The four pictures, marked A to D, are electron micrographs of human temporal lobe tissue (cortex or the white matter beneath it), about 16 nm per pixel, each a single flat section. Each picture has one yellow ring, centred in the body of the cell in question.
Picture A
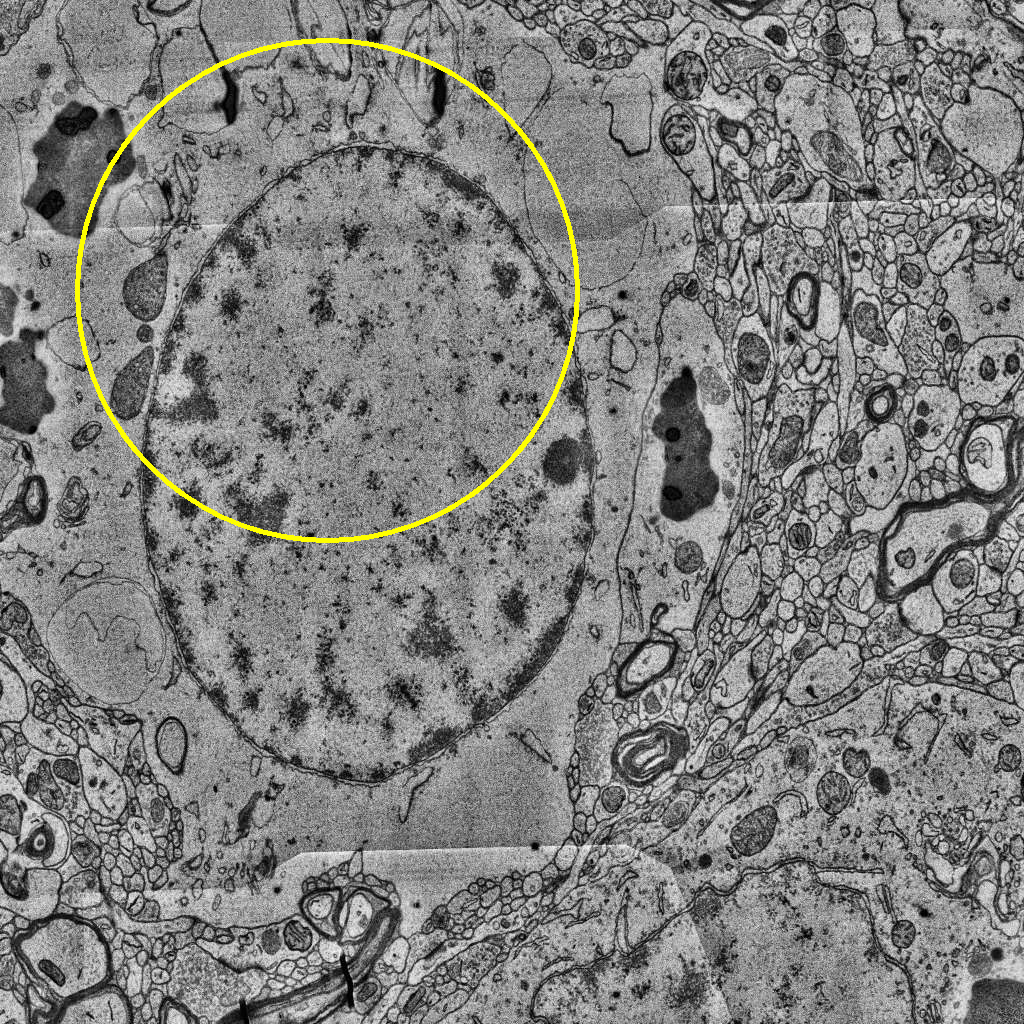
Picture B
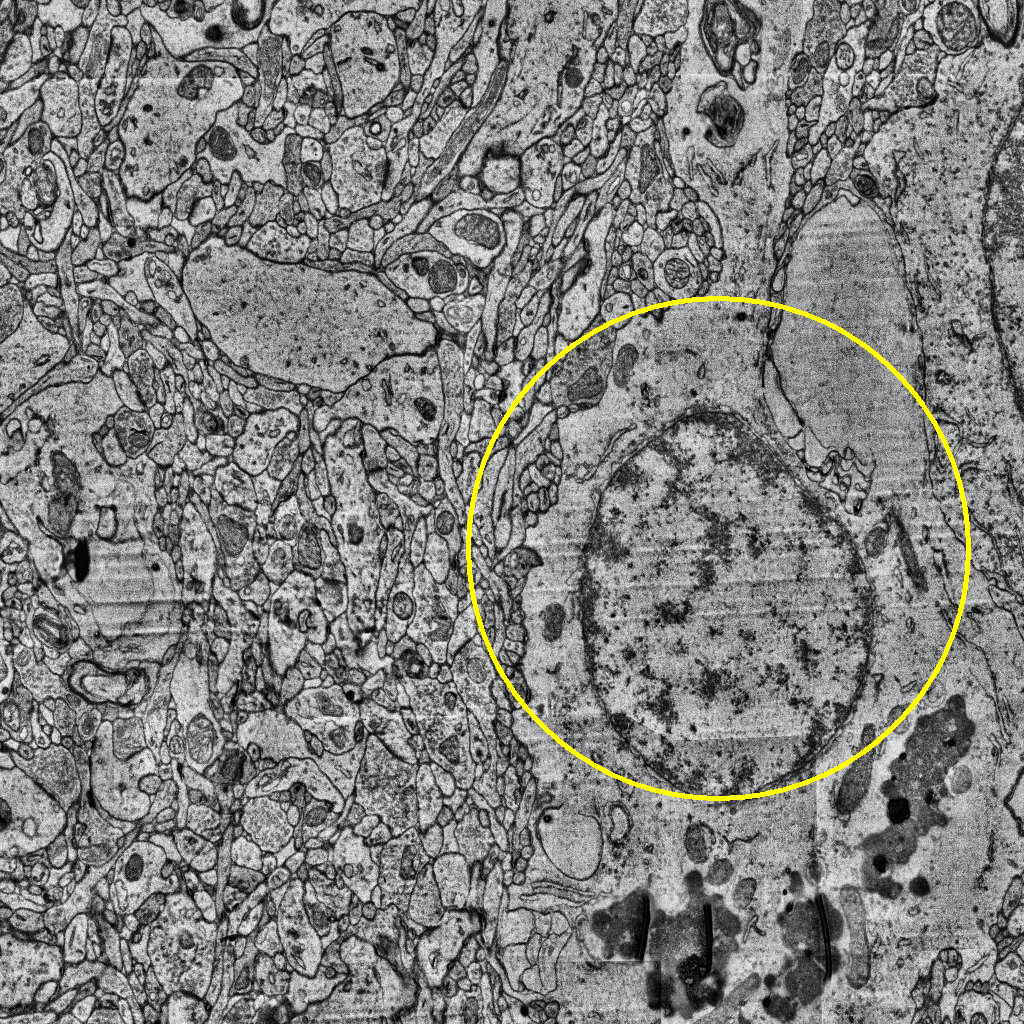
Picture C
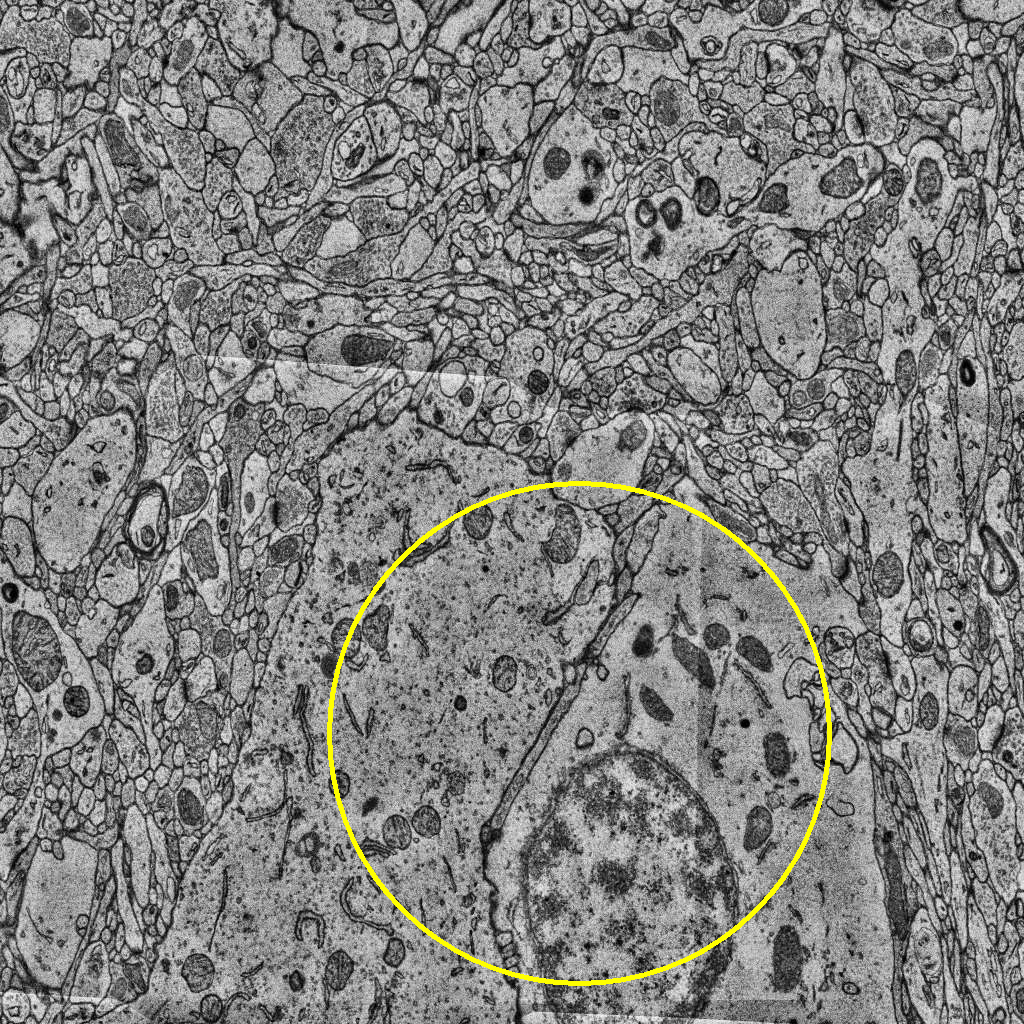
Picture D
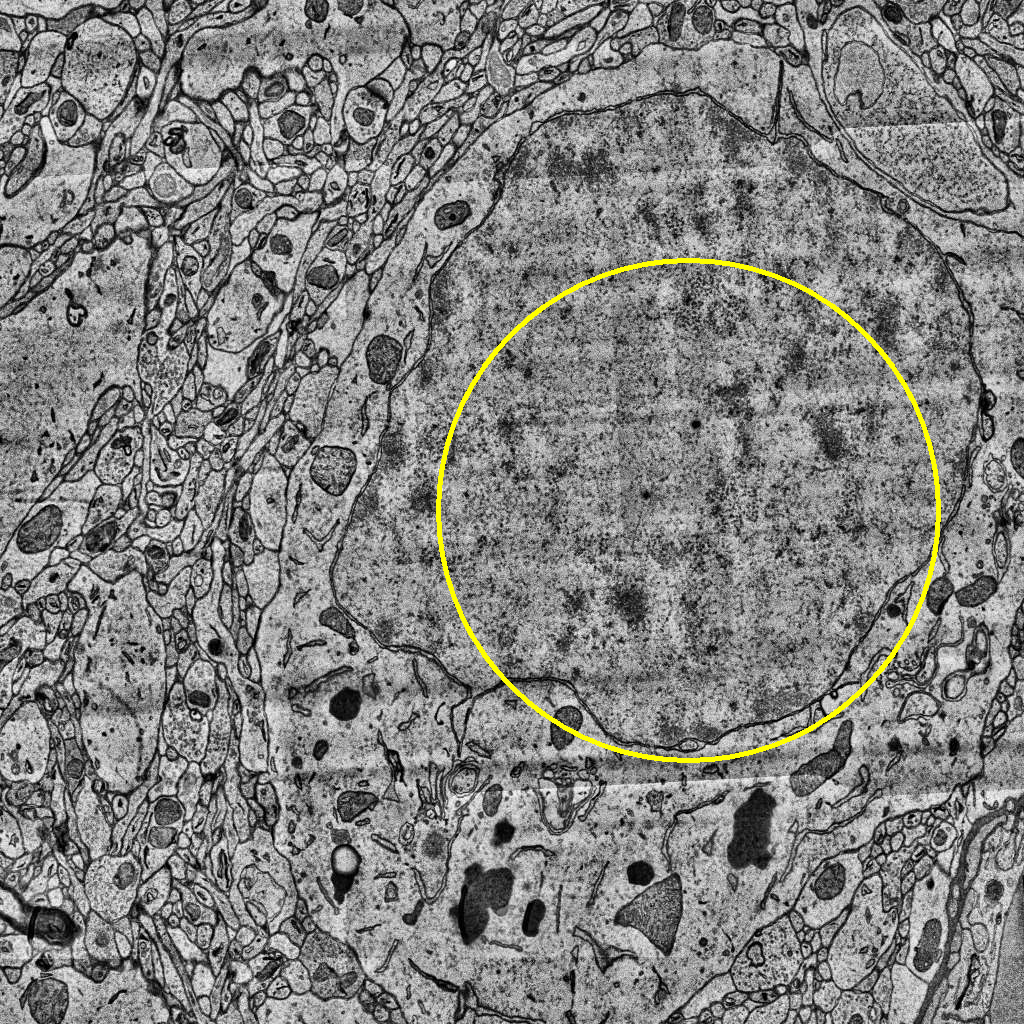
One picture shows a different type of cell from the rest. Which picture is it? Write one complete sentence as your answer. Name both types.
The others show astrocytes, but picture D shows an interneuron.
